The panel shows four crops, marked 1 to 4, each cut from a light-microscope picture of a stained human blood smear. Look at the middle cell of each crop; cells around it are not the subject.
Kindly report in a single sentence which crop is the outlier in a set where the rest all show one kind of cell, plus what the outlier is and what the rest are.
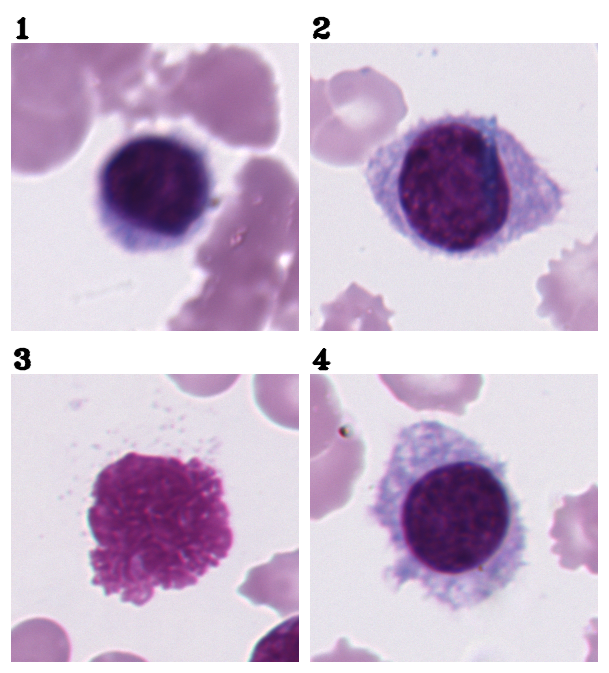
Crop 3 differs from the others in showing a smudge cell; the rest all show hairy cells.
